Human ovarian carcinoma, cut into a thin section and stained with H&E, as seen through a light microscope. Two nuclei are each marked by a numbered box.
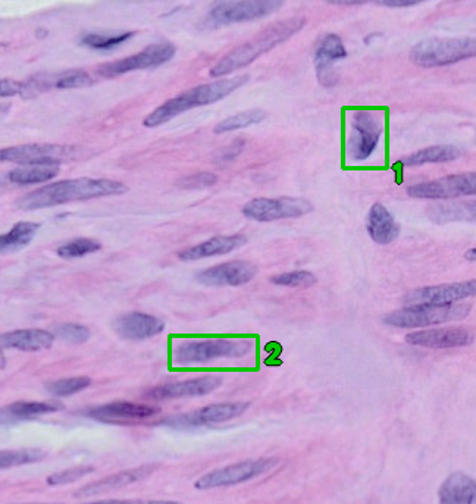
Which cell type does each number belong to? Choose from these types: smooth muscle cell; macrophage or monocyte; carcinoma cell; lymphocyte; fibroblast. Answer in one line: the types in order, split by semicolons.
fibroblast; smooth muscle cell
